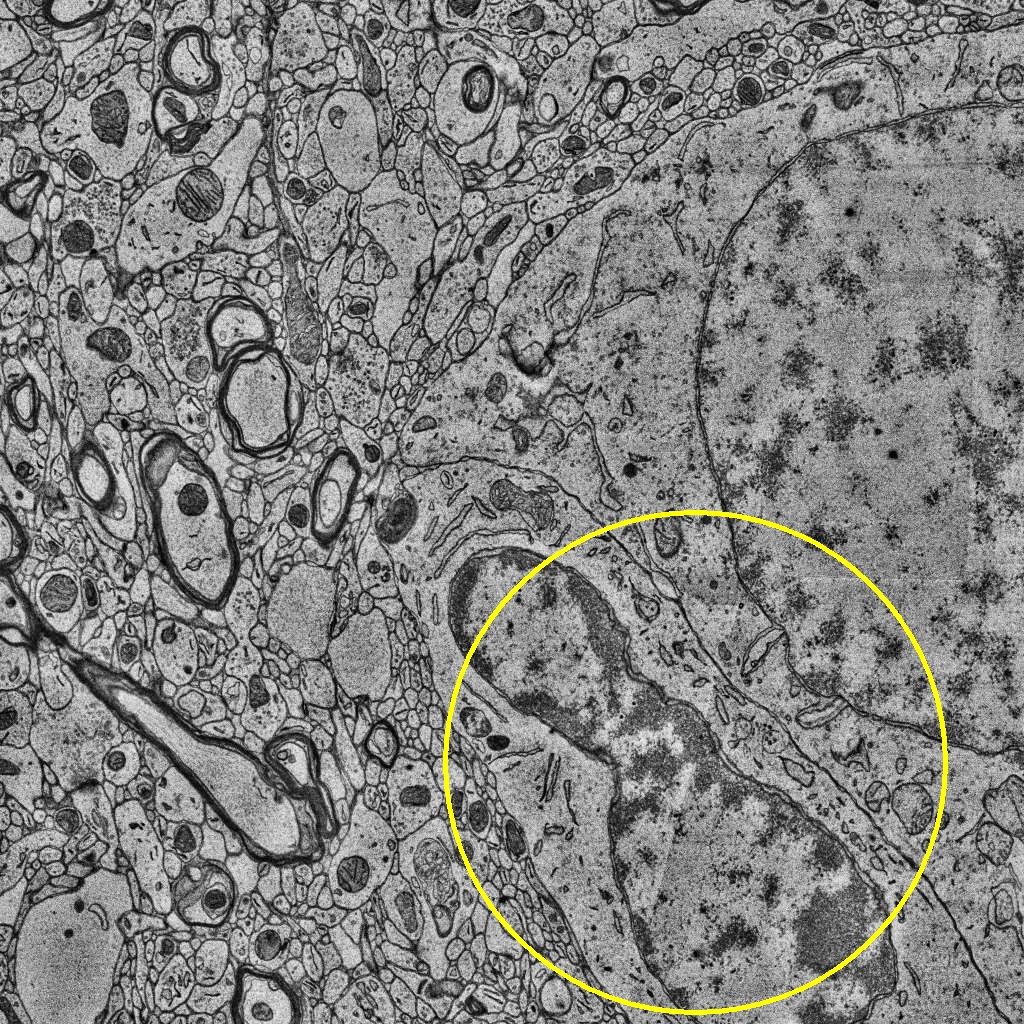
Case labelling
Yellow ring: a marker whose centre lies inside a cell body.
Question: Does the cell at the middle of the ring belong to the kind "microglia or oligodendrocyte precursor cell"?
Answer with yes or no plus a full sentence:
Yes, in this picture the cell at the middle of the yellow ring belongs to that kind.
